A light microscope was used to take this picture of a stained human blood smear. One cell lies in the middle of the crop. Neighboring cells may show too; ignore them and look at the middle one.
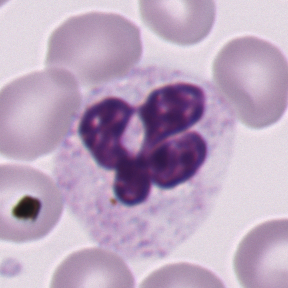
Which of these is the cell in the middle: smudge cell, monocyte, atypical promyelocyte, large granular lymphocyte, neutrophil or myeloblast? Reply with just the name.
neutrophil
